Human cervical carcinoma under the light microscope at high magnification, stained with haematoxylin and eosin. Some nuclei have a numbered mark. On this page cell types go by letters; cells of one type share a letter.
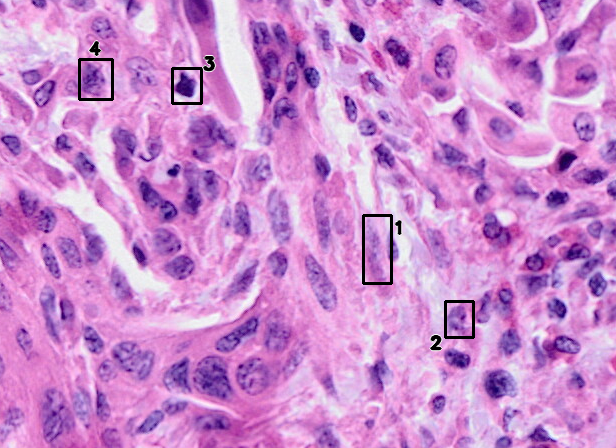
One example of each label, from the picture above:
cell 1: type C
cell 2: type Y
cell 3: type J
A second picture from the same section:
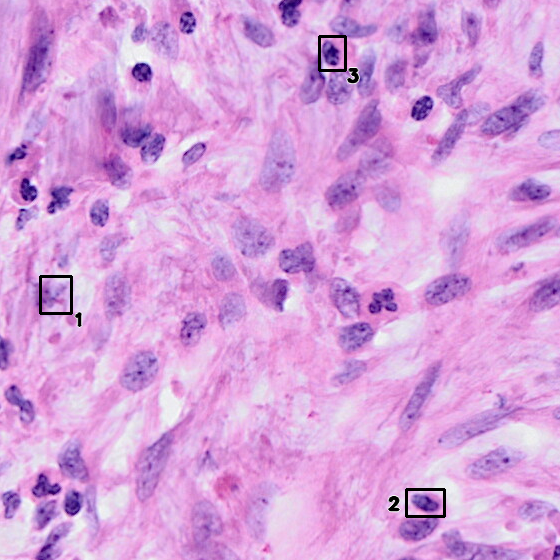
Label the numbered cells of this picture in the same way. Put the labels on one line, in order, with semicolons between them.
type C; type J; type J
